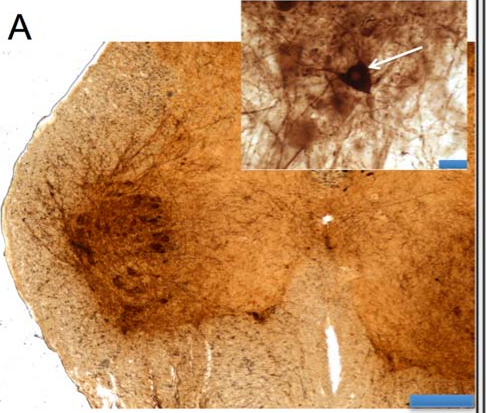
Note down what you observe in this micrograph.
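This is a cross-section through half of a spinal cord, with the large motoneurons showing as dark brown cell bodies. A paler band of white matter runs along the outer edge, while the grey matter is stained more deeply brown. In the ventral part of the grey matter a dense dark brown cluster holds several large stained cell bodies, and brown fibres radiate from it towards the surface.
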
